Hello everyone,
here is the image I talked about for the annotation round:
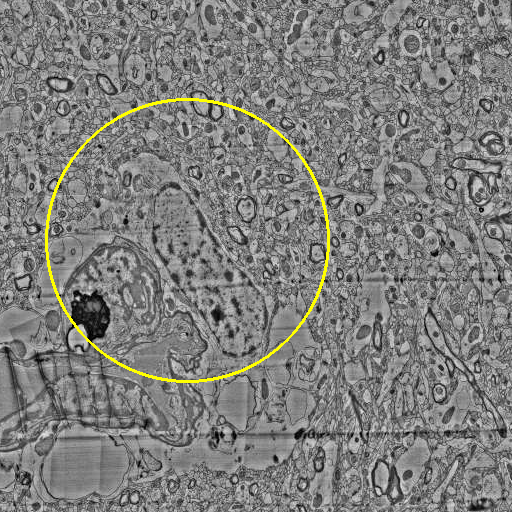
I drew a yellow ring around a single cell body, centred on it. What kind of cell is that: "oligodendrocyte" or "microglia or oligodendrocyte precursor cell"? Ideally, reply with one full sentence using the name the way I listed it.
The cell your yellow ring is centred on is a microglial cell or oligodendrocyte precursor cell, going by your list.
